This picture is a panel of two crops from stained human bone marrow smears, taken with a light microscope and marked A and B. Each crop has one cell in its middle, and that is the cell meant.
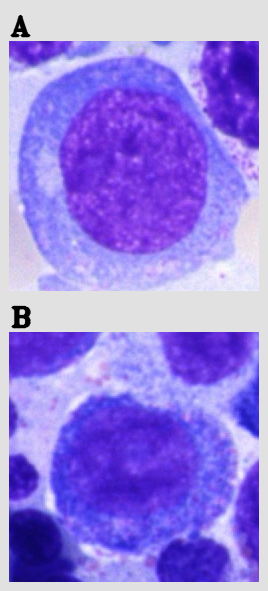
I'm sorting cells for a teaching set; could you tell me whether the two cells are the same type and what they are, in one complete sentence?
No, a blast is centred in crop A, and a promyelocyte is centred in crop B.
